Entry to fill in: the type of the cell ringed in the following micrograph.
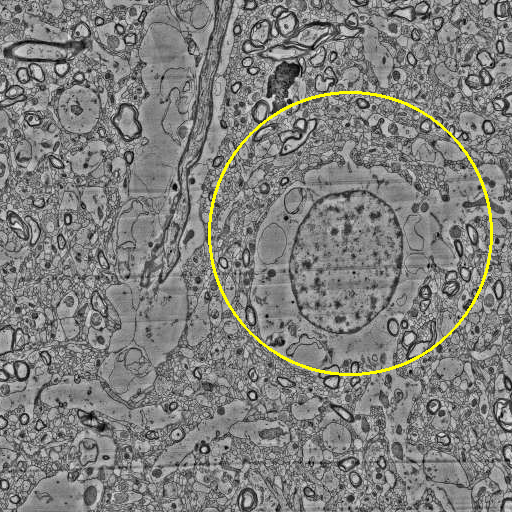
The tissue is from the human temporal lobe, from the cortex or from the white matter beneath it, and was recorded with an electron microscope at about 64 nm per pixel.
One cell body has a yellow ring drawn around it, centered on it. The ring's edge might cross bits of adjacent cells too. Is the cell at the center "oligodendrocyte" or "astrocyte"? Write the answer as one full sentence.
This entry names an astrocyte as the cell whose body lies at the ring's center.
